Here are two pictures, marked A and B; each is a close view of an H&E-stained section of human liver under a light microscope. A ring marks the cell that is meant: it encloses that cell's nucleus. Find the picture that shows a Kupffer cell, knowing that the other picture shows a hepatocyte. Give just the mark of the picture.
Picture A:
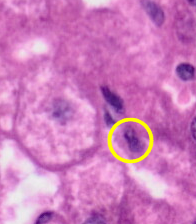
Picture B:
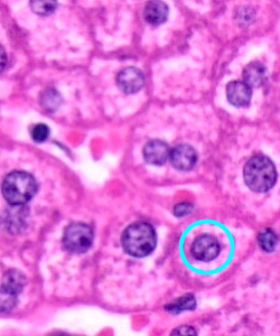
A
